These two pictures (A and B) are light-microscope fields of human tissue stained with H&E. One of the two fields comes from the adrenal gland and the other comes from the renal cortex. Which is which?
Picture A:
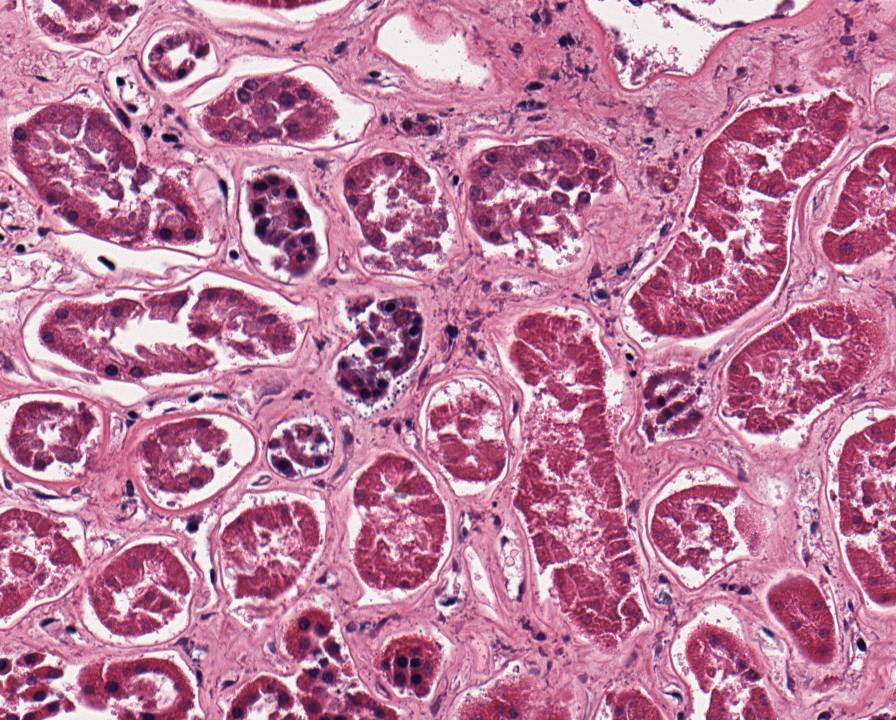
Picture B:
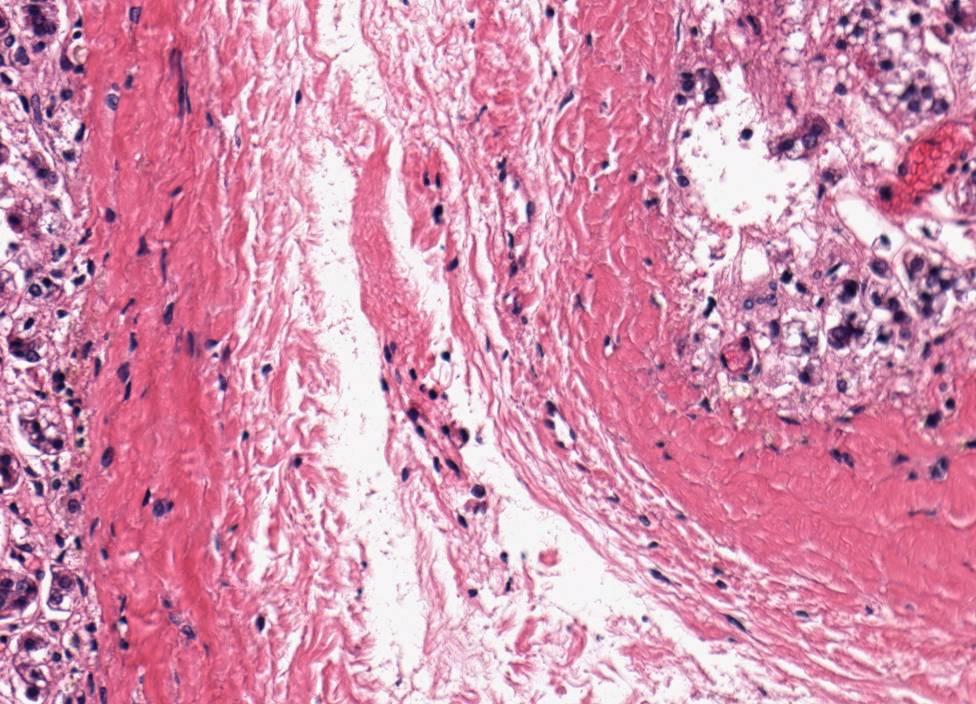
A: renal cortex
B: adrenal gland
